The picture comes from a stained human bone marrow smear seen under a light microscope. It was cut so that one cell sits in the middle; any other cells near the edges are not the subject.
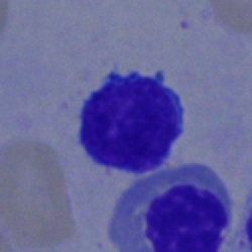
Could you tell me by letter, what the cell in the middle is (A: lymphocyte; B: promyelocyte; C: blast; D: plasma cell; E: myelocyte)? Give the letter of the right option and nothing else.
A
